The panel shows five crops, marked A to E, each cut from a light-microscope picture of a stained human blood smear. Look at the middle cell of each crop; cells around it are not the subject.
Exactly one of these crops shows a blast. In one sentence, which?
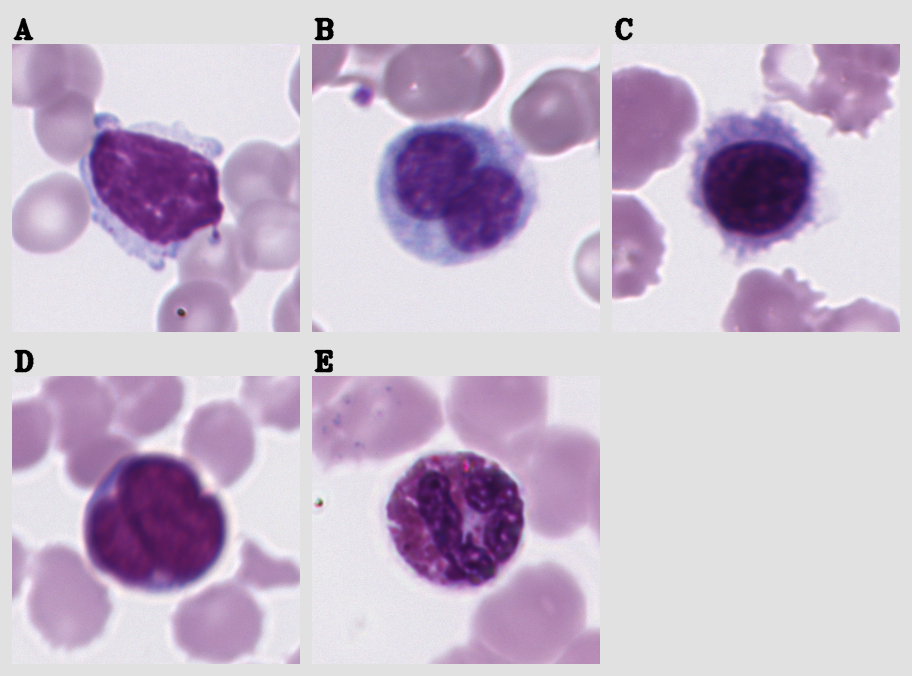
On review of the set, crop D is the one showing a blast.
